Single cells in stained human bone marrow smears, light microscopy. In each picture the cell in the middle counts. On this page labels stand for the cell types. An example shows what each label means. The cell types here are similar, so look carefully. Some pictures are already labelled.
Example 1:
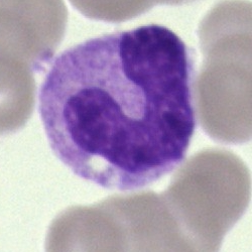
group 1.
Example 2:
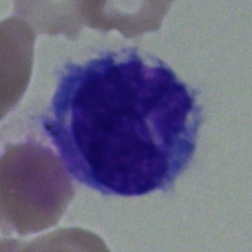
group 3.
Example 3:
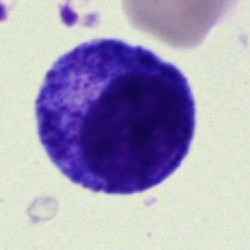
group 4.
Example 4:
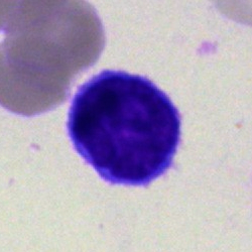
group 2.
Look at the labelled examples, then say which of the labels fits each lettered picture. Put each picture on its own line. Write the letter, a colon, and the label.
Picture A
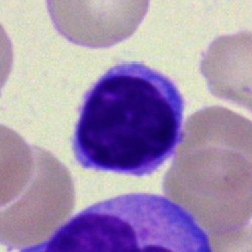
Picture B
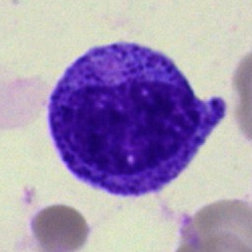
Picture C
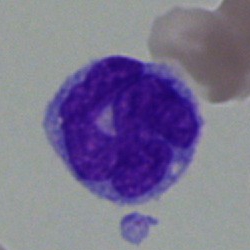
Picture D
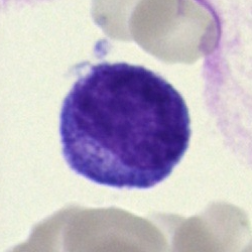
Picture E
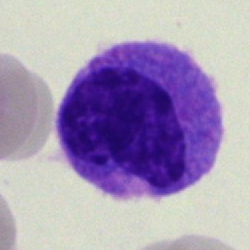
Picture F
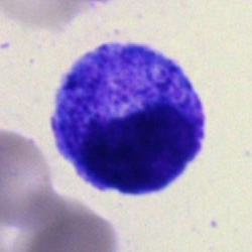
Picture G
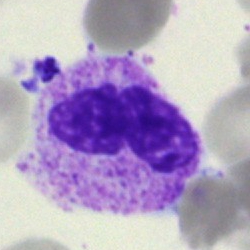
A: group 2.
B: group 4.
C: group 3.
D: group 4.
E: group 3.
F: group 4.
G: group 1.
